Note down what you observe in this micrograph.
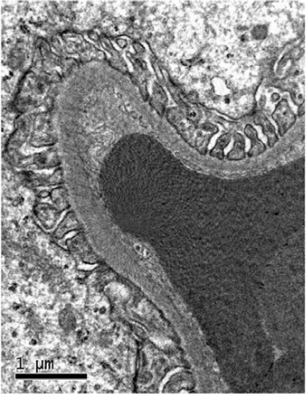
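This electron micrograph shows part of a glomerulus, with a capillary loop curving through the field. A dark, elongated red blood cell fills much of the capillary lumen on the right. Podocyte foot processes form a regular, wavy row along the outer side of the membrane on both sides of the loop. Outside the loop, granular cytoplasm of neighbouring cells fills the corners of the field.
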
